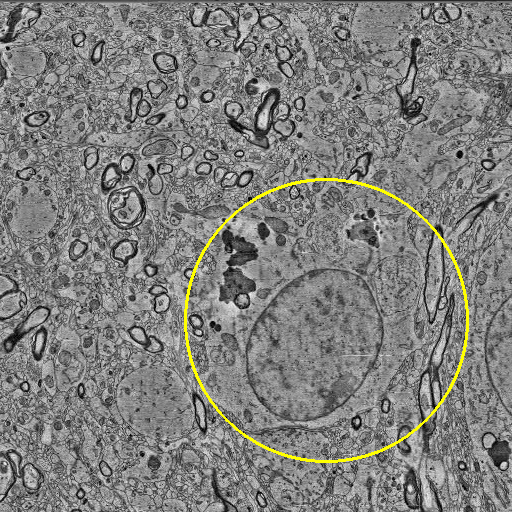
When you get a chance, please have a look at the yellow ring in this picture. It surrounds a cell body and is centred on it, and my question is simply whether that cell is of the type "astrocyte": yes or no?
Yes, the cell is of that type.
